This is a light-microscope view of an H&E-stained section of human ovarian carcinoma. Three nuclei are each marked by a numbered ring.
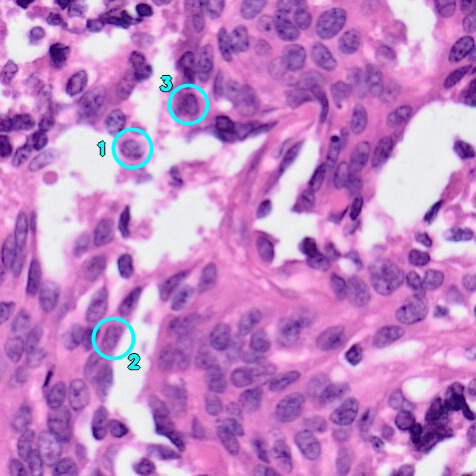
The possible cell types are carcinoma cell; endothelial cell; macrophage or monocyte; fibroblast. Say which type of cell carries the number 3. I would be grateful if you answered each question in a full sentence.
Corresponding to a carcinoma cell is the cell labelled 3.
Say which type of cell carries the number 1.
The marked cell bearing number 1 is a macrophage or monocyte.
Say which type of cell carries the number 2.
The cell pointed out by number 2 is a carcinoma cell.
